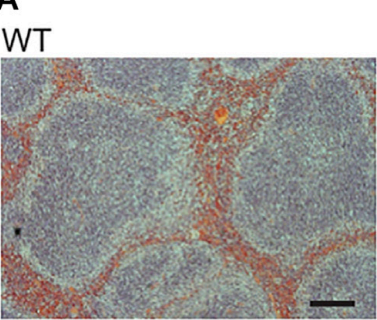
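Section of spleen showing several large, rounded follicles of densely packed small cells that fill most of the field. The follicles stain blue-grey and lie close together. Between them run narrow bands of red-orange staining tissue.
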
